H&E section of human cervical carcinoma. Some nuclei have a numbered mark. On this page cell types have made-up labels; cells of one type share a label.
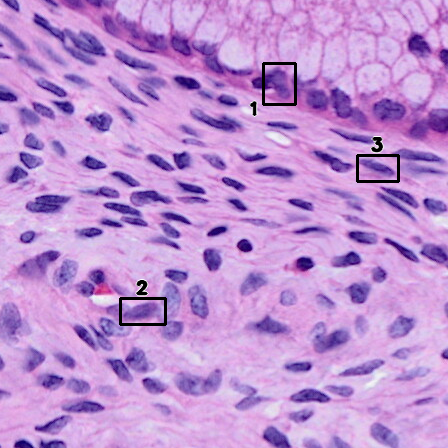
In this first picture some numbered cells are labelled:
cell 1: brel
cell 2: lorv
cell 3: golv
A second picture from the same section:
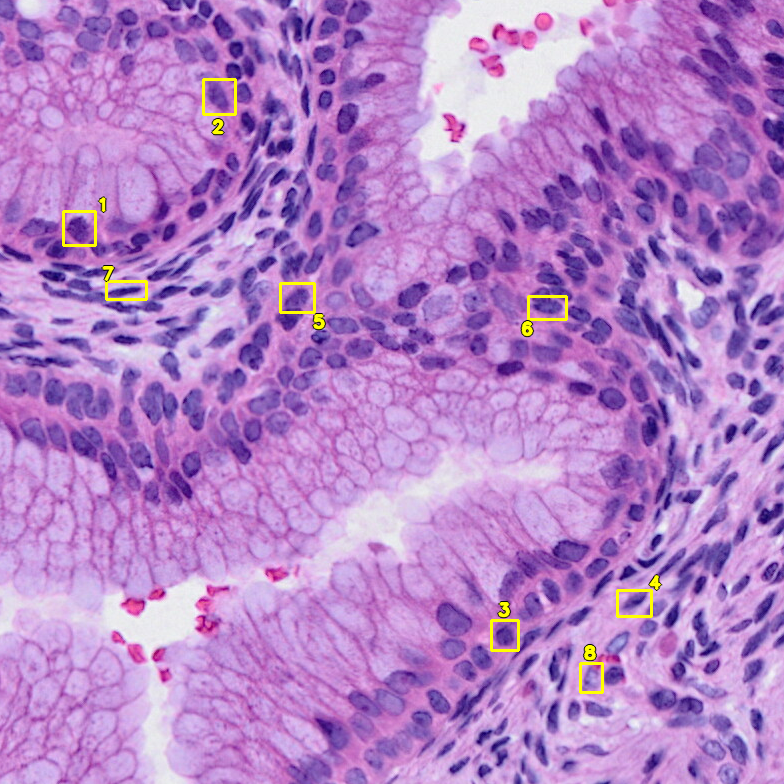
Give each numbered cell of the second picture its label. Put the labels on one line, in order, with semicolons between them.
brel; brel; brel; golv; brel; brel; golv; lorv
